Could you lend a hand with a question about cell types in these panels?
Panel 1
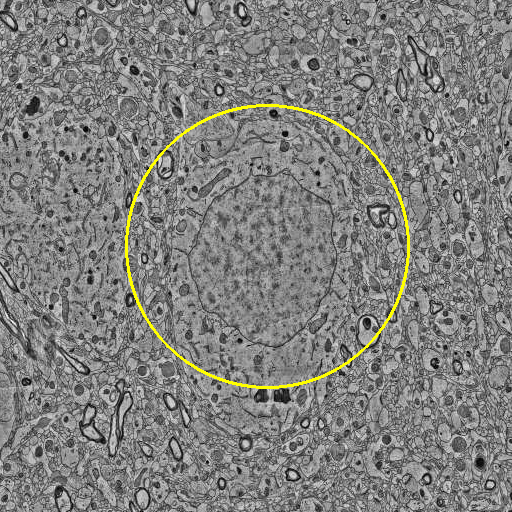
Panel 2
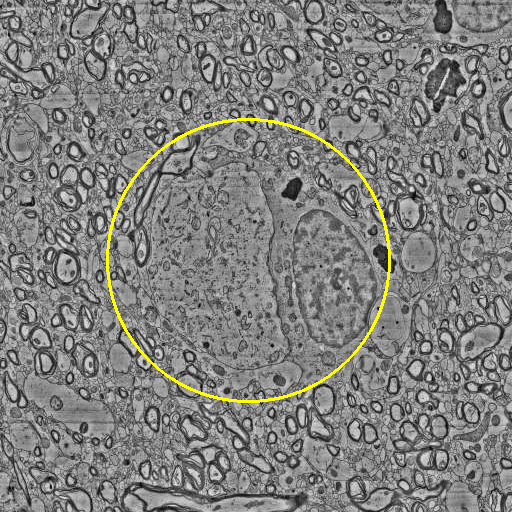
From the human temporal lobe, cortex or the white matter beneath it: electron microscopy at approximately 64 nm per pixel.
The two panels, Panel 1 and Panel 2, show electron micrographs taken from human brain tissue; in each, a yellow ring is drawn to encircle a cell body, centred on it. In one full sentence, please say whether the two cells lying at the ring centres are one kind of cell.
No, the cells at the ring centres in the two panels are two kinds of cell.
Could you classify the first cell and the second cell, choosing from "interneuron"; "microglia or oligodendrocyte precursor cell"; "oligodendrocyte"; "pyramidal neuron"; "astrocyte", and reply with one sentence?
The second cell is an oligodendrocyte, while the first is a pyramidal neuron.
